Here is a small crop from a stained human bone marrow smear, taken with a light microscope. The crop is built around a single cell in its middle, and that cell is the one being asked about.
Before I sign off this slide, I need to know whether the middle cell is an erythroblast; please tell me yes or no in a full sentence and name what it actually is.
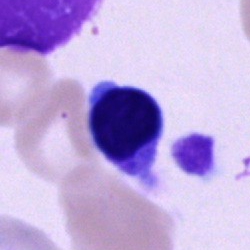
No, an erythroblast is not what the central cell is; it is a lymphocyte.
